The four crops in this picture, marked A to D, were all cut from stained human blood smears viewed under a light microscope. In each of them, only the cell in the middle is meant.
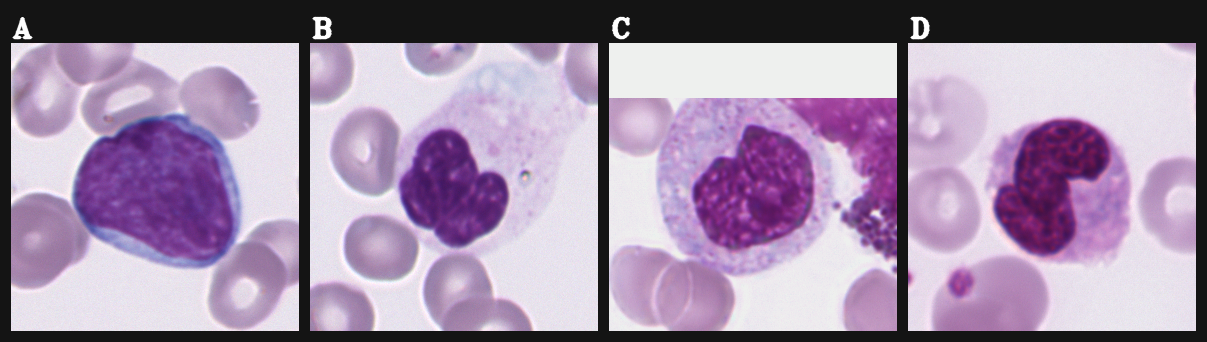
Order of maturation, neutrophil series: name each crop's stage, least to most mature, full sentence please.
Sequenced by maturity from least to most, the crops are crop A (a blast), crop C (a metamyelocyte), crop D (a band neutrophil) and crop B (a segmented neutrophil).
